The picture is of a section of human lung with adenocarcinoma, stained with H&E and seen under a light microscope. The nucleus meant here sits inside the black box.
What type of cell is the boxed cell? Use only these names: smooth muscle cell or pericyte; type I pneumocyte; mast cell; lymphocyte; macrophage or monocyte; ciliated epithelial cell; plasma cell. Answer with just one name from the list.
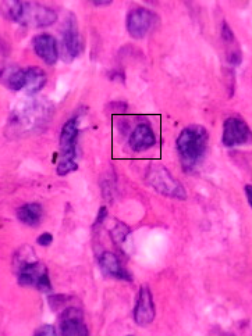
plasma cell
